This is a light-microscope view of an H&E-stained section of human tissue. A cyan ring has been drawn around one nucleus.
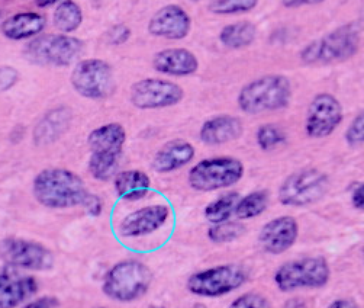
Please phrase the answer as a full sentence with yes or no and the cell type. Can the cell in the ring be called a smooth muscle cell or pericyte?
No, the cell in the ring is a squamous carcinoma cell; calling it a smooth muscle cell or pericyte would be wrong.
